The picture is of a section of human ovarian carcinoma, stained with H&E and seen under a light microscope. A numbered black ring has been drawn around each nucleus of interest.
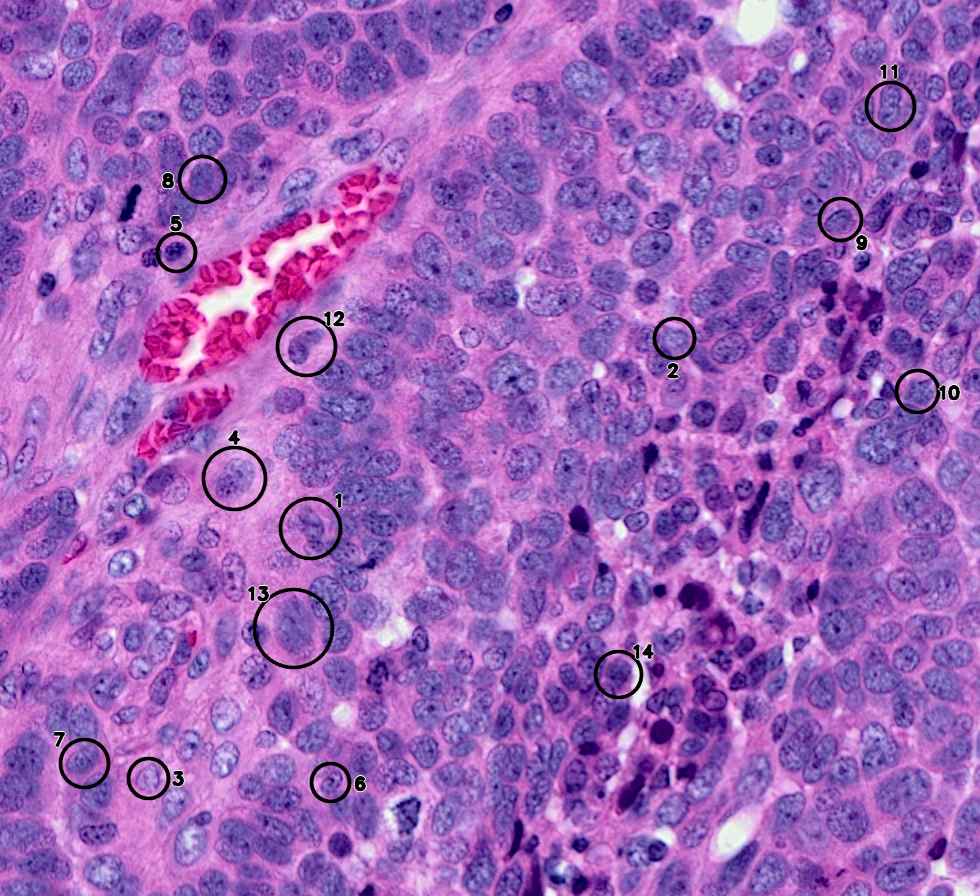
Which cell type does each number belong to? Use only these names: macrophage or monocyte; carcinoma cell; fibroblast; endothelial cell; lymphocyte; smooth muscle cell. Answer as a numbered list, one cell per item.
1. macrophage or monocyte
2. carcinoma cell
3. fibroblast
4. fibroblast
5. lymphocyte
6. macrophage or monocyte
7. carcinoma cell
8. carcinoma cell
9. carcinoma cell
10. carcinoma cell
11. carcinoma cell
12. macrophage or monocyte
13. carcinoma cell
14. carcinoma cell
